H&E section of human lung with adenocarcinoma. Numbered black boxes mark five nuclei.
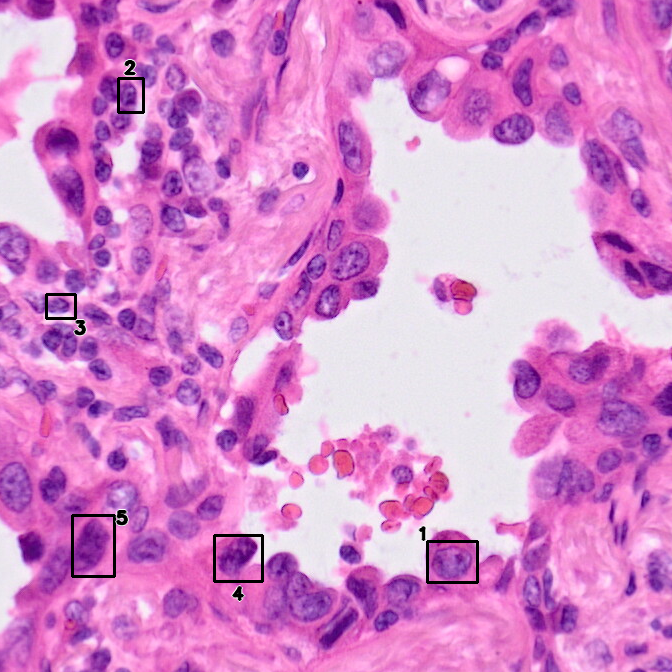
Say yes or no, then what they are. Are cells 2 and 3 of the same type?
Yes, cell 2 and likewise cell 3 are lymphocytes.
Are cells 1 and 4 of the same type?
Yes, along with cell 1, cell 4 is also among the carcinoma cells.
